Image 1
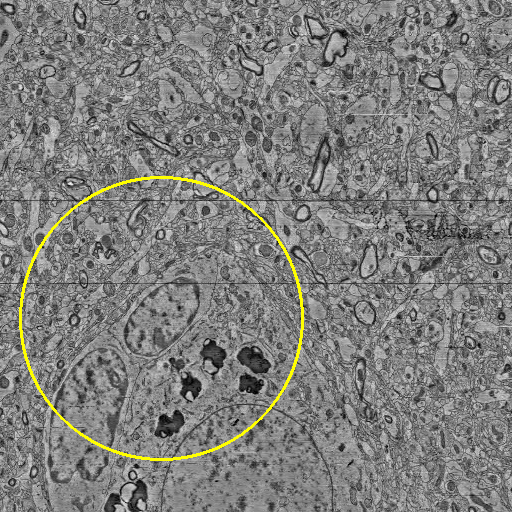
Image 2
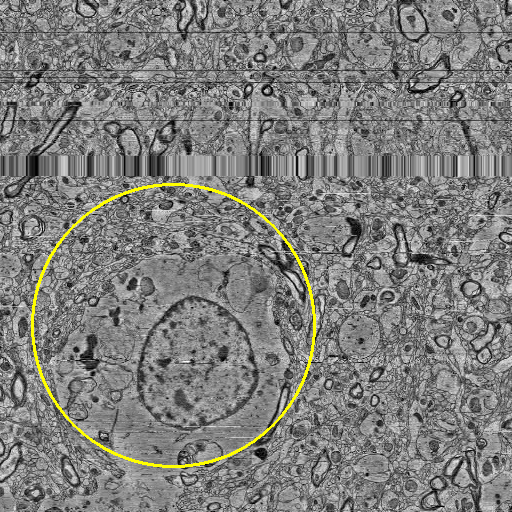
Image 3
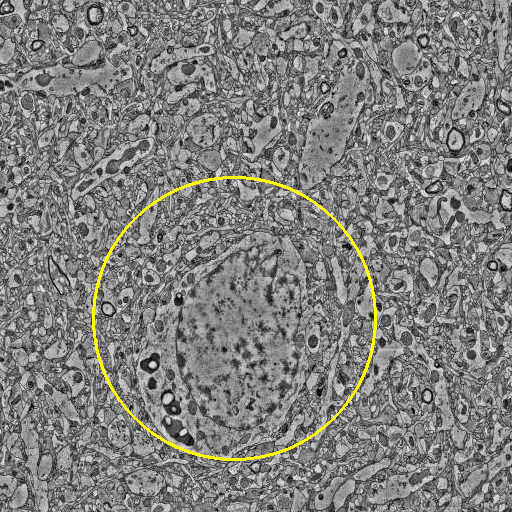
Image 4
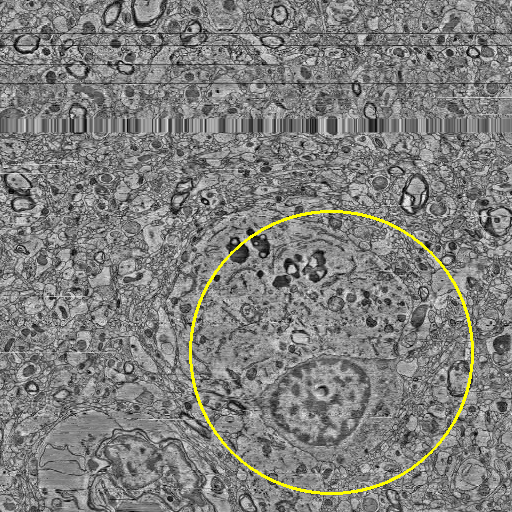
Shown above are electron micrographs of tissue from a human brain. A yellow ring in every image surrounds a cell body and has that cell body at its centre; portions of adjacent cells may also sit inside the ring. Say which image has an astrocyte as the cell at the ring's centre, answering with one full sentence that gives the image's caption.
The image whose ring is centred on the requested cell is Image 2.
